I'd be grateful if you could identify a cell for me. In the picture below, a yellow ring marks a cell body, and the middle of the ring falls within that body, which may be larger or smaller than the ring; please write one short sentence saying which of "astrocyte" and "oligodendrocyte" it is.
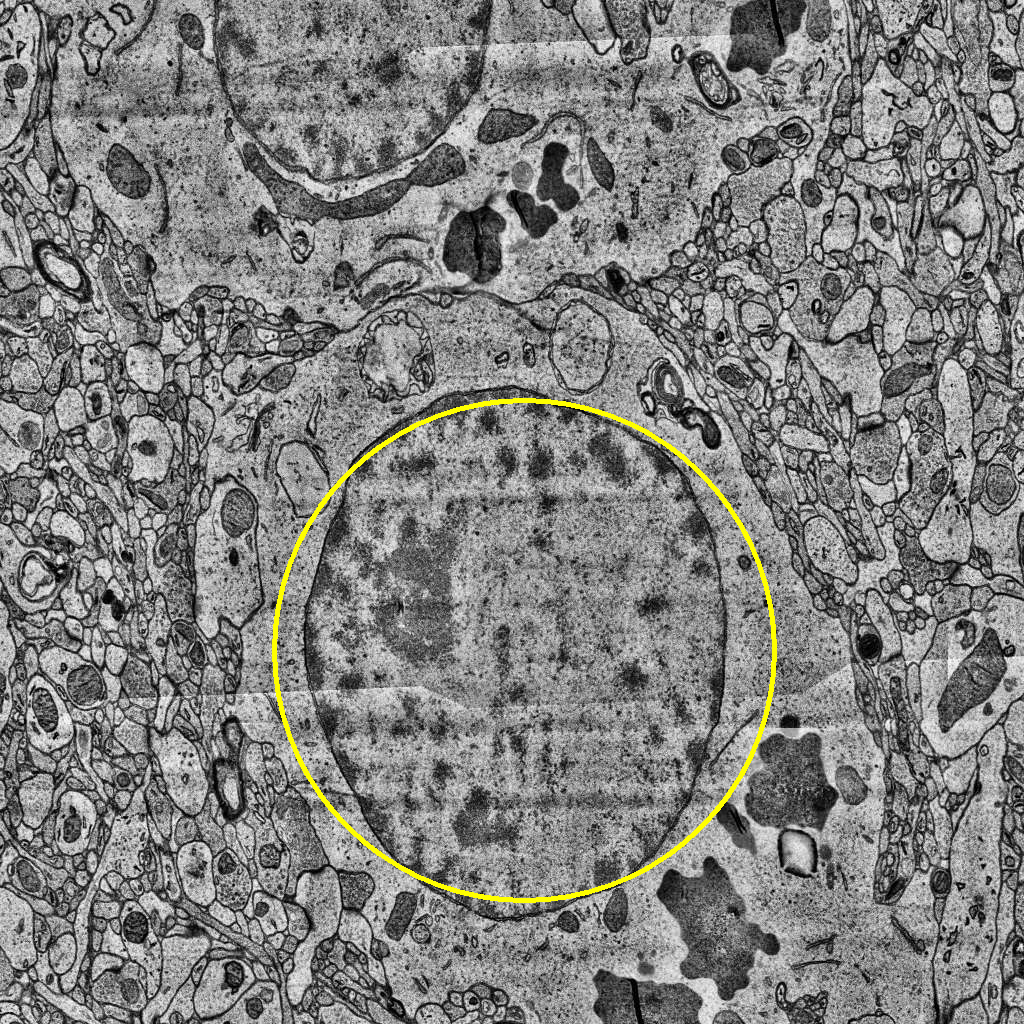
The cell under the ring's centre is an astrocyte.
